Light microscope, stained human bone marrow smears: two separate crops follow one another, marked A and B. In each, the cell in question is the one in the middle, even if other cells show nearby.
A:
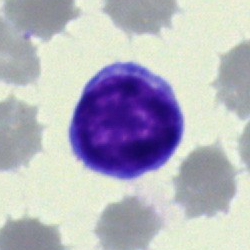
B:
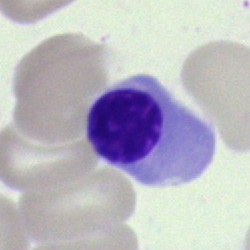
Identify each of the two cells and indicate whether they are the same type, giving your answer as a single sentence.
No, crop A offers a lymphocyte, while crop B offers an erythroblast.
